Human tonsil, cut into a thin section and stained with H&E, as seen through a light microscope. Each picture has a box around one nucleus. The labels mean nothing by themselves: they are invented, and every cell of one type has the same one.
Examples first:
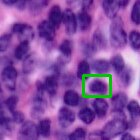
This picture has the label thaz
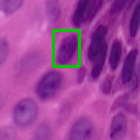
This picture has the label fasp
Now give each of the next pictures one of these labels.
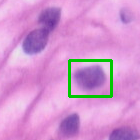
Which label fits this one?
fasp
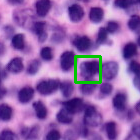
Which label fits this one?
thaz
